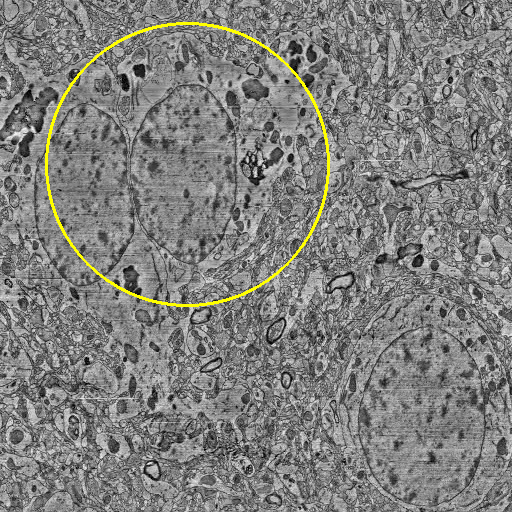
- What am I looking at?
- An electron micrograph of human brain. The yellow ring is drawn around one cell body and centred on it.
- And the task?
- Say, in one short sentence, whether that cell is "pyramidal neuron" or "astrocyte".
The cell in the middle of the ring is an astrocyte.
